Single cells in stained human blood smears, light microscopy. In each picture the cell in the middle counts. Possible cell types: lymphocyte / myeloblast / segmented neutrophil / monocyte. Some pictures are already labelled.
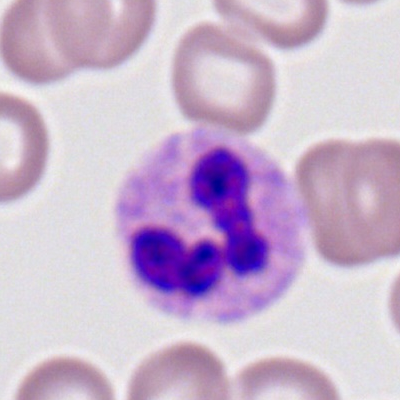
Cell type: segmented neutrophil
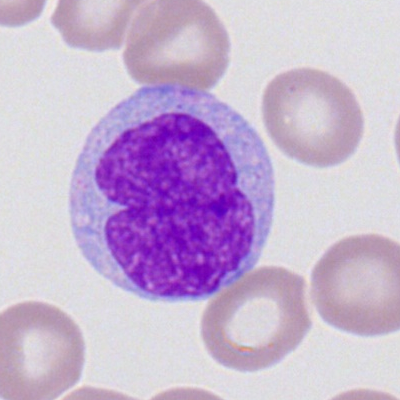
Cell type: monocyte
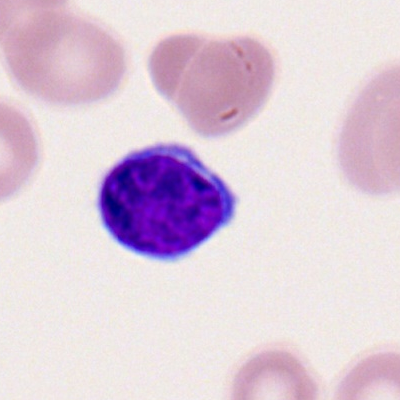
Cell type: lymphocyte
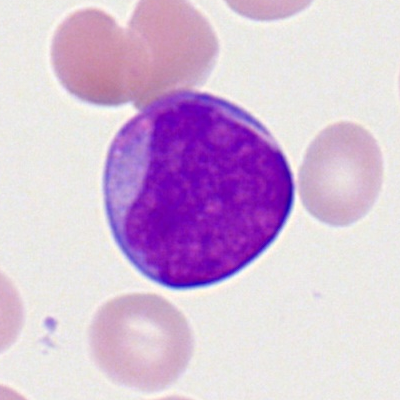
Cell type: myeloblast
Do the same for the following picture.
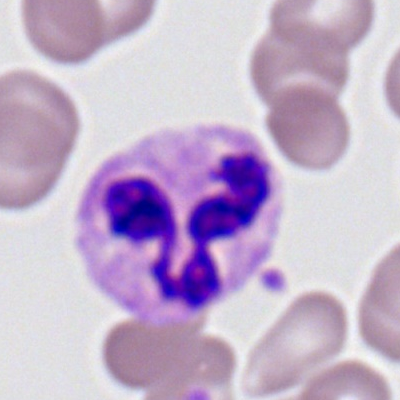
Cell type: segmented neutrophil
